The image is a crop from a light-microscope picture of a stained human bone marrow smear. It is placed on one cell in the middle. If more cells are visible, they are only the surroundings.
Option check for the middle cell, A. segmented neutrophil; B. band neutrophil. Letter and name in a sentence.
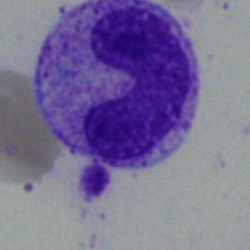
The cell in the center of this crop is a band neutrophil, so option B is the one to pick.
